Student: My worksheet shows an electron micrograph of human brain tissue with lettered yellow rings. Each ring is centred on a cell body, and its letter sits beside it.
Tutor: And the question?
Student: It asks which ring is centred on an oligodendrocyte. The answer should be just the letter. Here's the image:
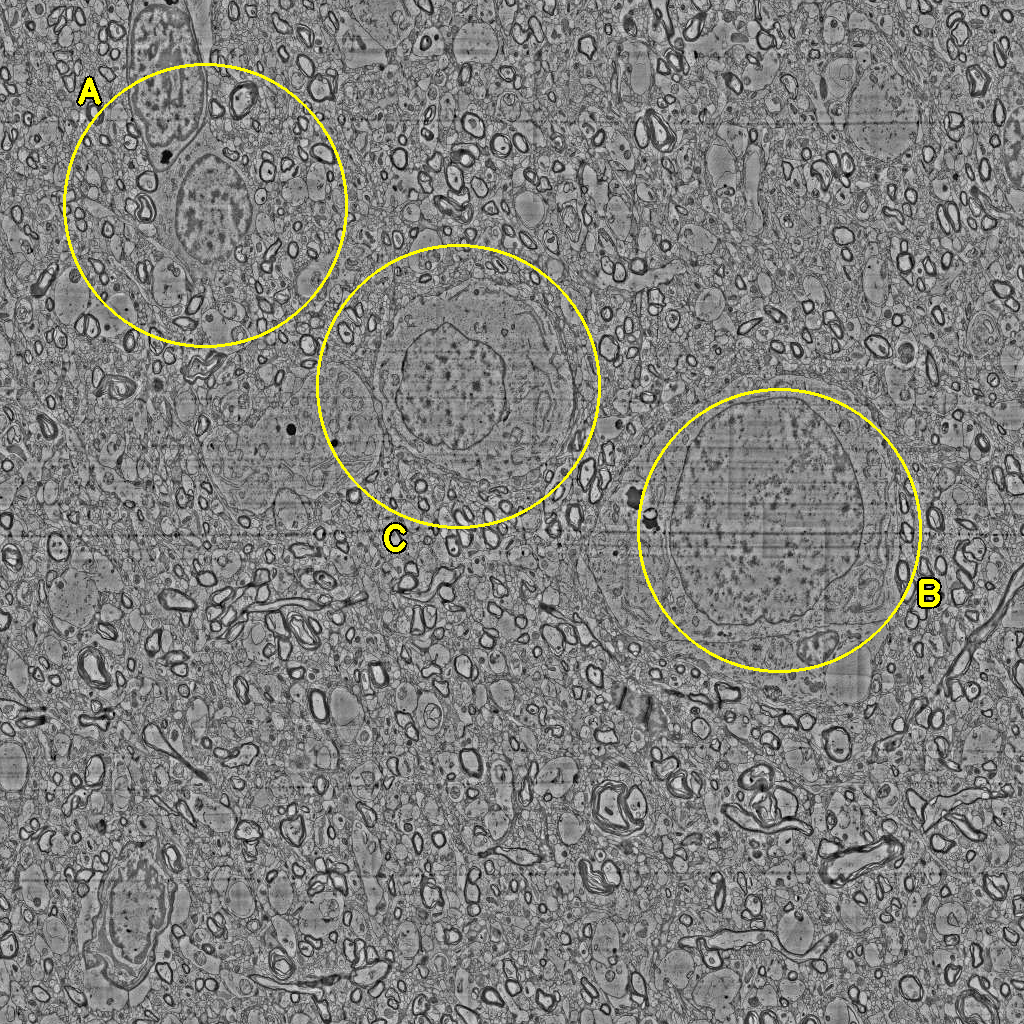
A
